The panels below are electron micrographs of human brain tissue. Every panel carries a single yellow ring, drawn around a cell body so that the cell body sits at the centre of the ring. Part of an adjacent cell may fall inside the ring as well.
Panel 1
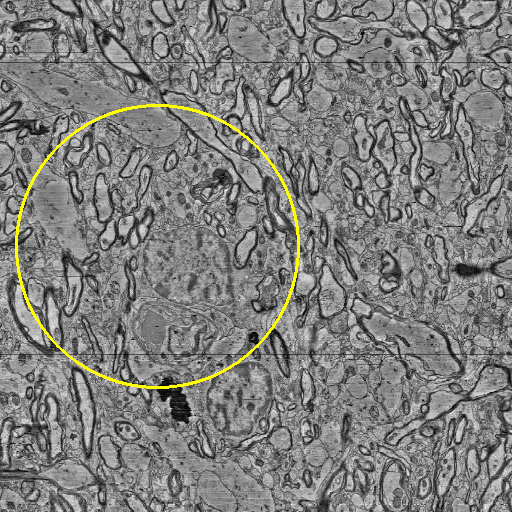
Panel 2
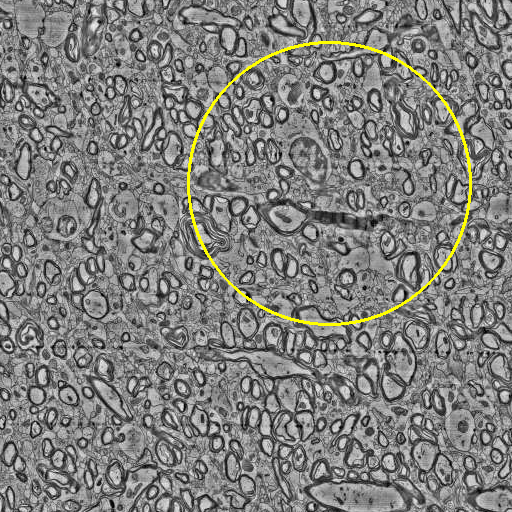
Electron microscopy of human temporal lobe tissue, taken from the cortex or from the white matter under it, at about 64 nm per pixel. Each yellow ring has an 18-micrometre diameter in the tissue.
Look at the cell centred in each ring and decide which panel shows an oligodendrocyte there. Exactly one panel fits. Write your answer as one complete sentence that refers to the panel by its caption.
Panel 1 has it at the centre of its ring.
